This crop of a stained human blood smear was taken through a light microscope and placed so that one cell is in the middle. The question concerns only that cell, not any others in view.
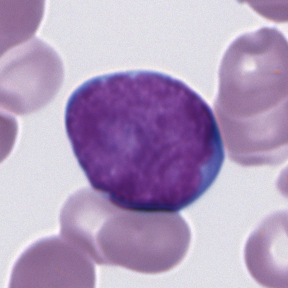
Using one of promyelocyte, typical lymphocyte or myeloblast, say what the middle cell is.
myeloblast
